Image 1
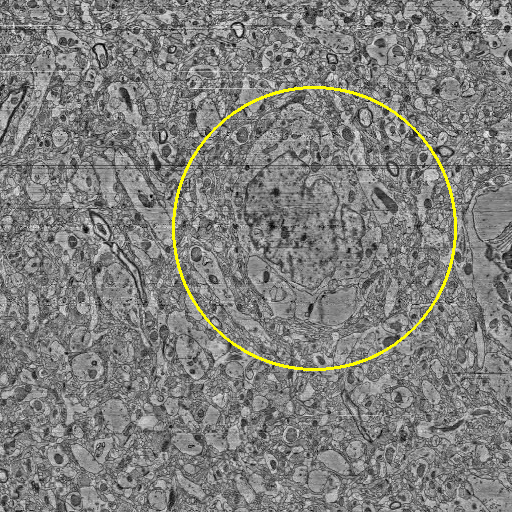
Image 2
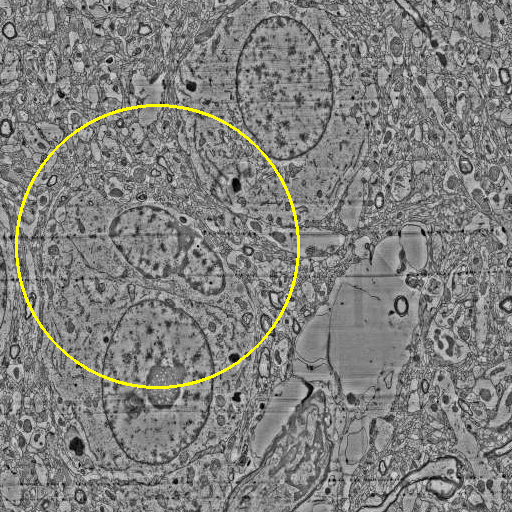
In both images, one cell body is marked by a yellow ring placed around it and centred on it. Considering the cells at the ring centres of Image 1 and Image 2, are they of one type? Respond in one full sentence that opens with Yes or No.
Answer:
No, two types apply to the ring-centred cells of Image 1 and Image 2.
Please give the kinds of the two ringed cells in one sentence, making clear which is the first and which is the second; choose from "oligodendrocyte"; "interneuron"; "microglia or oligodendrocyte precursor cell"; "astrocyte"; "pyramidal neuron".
In the second picture the ringed cell is a microglial cell or oligodendrocyte precursor cell; in the first it is an interneuron.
